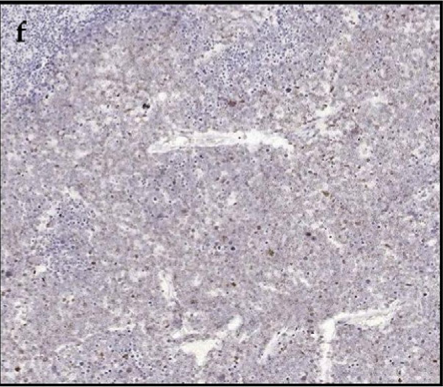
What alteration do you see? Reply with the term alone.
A: Tumor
